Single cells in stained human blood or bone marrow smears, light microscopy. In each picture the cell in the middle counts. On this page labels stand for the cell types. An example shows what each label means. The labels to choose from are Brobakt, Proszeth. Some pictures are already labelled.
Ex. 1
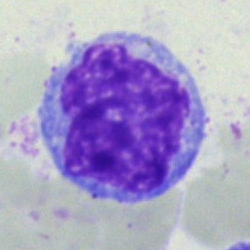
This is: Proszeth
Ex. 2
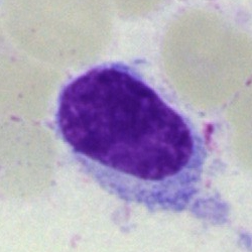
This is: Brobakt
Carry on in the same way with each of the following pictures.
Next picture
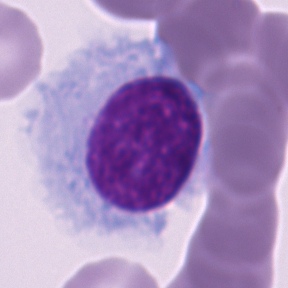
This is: Brobakt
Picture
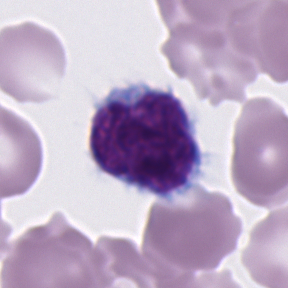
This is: Brobakt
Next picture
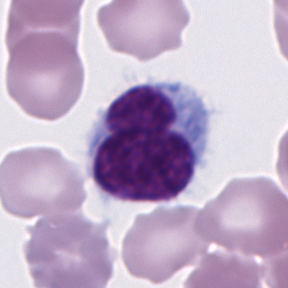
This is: Brobakt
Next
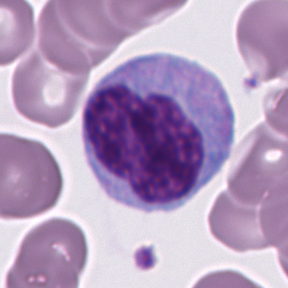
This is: Proszeth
